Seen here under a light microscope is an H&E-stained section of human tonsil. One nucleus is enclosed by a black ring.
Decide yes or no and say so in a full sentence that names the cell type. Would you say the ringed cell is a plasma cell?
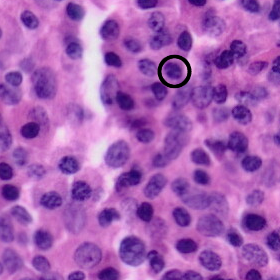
Yes, the ringed cell is to be classified as a plasma cell.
